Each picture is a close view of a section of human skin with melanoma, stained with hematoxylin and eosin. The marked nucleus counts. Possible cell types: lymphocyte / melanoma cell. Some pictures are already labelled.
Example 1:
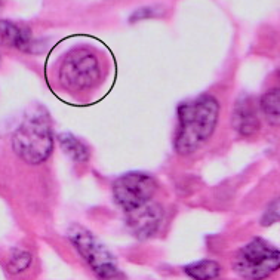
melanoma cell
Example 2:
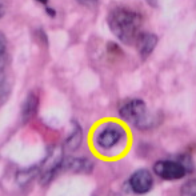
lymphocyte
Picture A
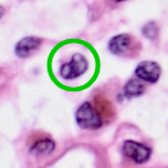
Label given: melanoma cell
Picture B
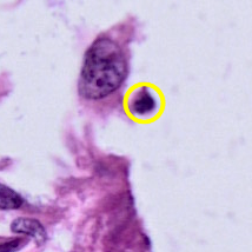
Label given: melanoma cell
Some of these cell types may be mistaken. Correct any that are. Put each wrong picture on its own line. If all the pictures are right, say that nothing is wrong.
A: not melanoma cell but lymphocyte
B: not melanoma cell but lymphocyte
